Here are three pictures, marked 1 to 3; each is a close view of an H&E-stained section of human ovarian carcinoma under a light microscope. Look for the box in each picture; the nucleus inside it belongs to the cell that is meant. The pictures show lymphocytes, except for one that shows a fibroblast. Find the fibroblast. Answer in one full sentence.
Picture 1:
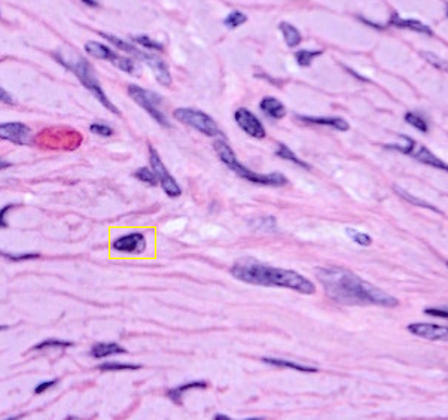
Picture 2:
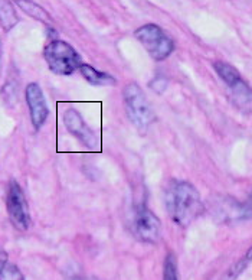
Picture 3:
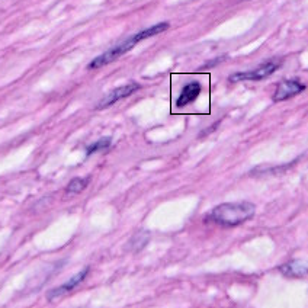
The picture with the fibroblast is 2.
